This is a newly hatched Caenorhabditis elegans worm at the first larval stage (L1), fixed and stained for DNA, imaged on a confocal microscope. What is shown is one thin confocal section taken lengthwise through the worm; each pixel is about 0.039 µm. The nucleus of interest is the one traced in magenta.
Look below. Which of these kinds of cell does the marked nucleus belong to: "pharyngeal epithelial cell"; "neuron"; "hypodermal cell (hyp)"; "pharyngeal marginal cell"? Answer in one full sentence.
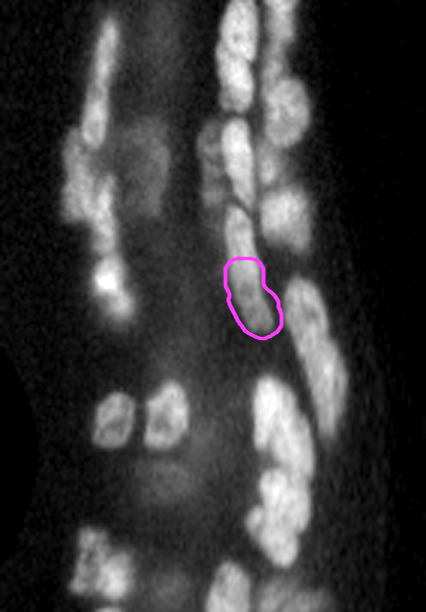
The marked nucleus belongs to a pharyngeal epithelial cell.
